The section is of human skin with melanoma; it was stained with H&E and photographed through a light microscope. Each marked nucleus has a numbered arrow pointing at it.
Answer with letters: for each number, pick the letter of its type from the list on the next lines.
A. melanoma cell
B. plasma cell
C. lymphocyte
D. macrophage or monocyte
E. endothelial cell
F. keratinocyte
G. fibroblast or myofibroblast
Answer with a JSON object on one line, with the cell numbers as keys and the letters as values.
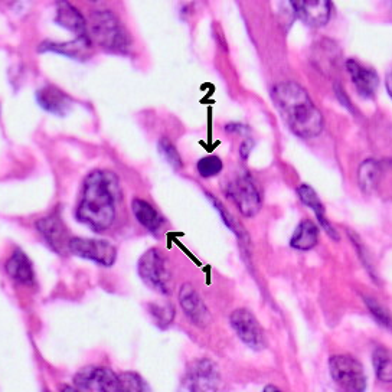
{"1": "A", "2": "C"}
